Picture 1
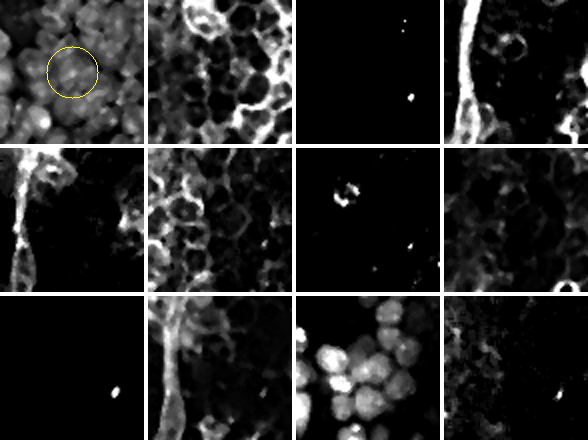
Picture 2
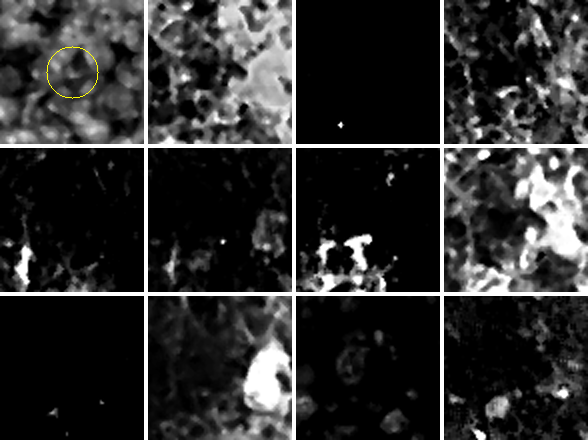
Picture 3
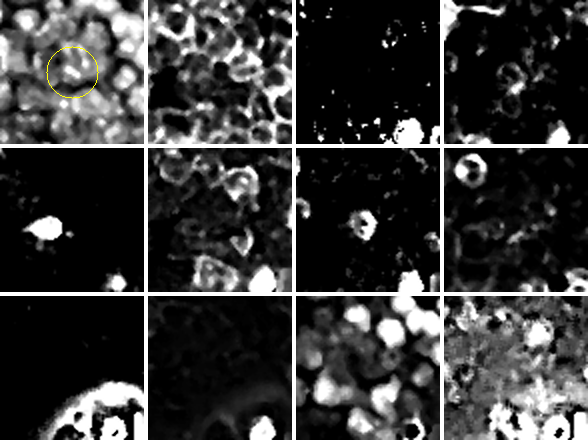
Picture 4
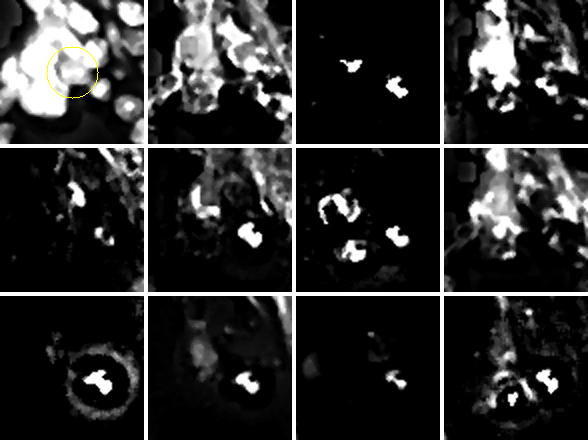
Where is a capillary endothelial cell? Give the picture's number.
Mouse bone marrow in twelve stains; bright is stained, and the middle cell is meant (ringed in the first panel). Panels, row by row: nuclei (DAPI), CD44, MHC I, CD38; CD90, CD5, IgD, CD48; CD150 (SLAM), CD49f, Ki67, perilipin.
4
